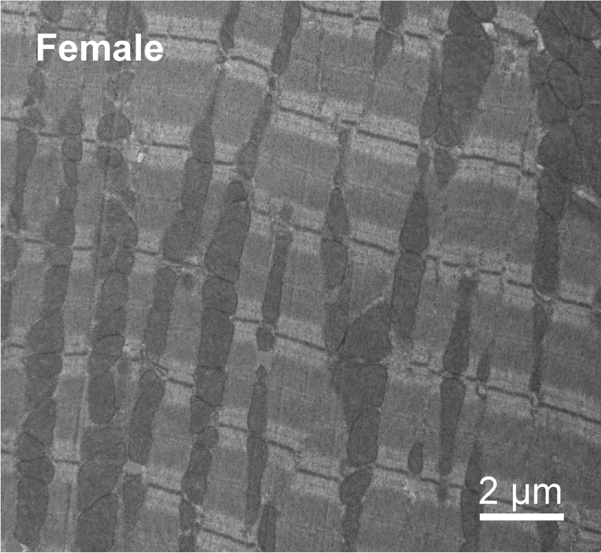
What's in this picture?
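Heart muscle cells seen by transmission electron microscopy, with myofibrils and interfibrillar mitochondria. Here the myofibrils run vertically, and dark transverse lines at regular intervals cross them horizontally, giving a clear banded pattern of sarcomeres with lighter and darker bands. Large dark mitochondria with dense cristae are stacked end to end in vertical columns between the myofibrils, many of them about one sarcomere long and interrupted at the transverse lines.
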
